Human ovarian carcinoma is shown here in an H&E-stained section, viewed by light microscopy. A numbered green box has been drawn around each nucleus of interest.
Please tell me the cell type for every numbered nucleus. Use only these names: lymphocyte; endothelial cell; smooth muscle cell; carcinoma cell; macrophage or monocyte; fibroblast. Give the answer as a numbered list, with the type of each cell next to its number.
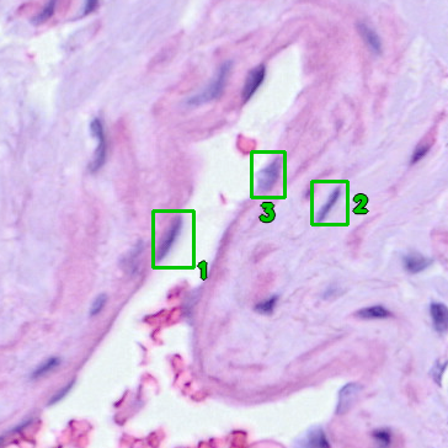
1. endothelial cell
2. fibroblast
3. endothelial cell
